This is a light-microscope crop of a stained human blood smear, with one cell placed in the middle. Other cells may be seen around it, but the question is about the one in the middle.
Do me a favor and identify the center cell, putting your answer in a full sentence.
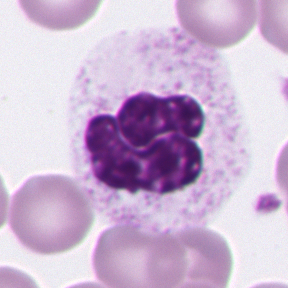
The central element of this crop is a cell, namely a segmented neutrophil.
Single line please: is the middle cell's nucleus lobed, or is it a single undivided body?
If you check the nucleus, you will find it split into two or more lobes.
